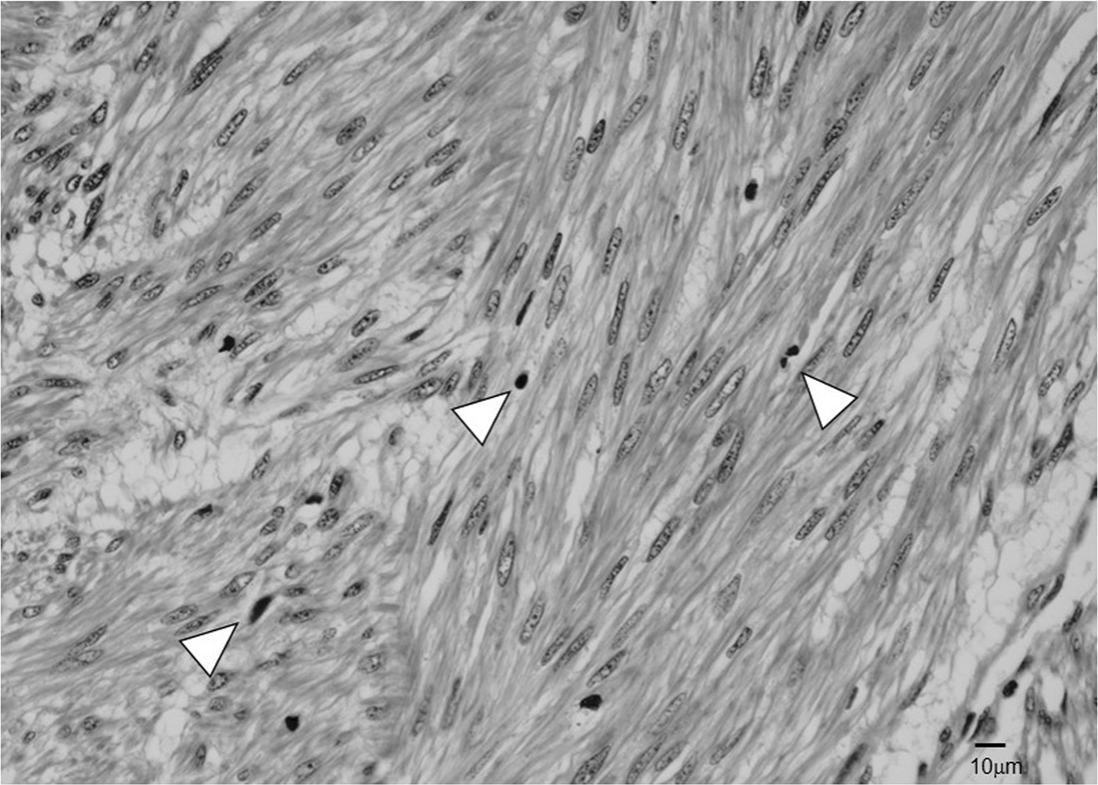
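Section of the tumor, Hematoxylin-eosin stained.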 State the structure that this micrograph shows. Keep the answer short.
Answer: alternating fascicles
